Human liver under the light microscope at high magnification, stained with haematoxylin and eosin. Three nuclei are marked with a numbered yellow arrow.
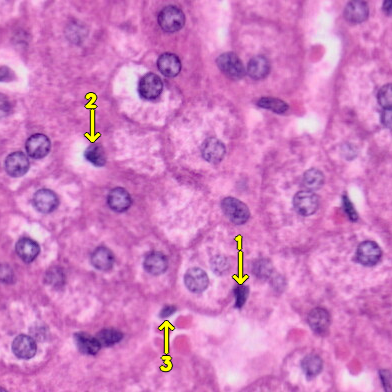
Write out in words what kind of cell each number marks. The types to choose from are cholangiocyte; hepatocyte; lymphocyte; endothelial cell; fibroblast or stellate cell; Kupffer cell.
Cell 1 is a fibroblast or stellate cell. Cell 2 is an endothelial cell. Cell 3 is a lymphocyte.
